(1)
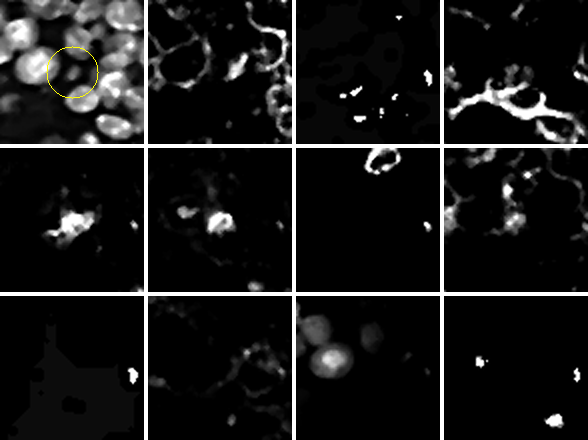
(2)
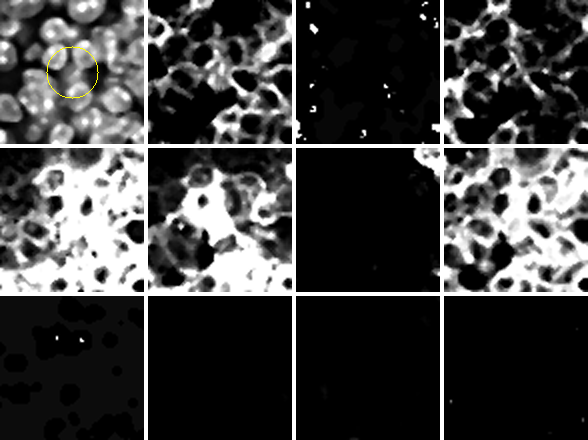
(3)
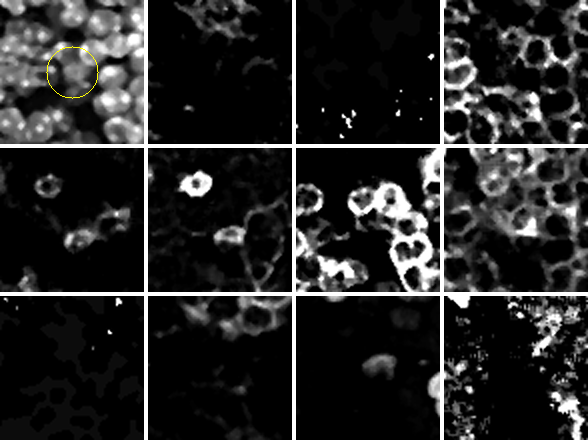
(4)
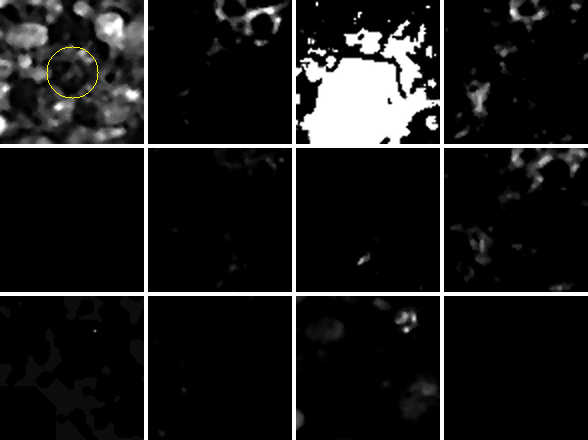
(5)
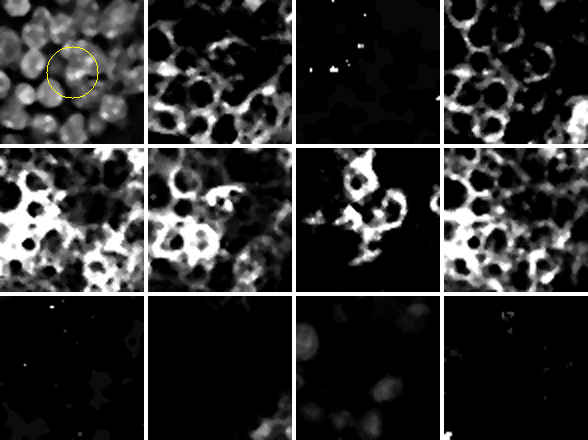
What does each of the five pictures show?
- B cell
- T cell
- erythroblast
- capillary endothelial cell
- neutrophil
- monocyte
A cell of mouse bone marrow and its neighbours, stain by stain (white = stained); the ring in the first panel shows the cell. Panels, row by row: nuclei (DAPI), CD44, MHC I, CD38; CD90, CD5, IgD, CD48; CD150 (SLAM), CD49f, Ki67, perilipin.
Picture 1: T cell
Picture 2: monocyte
Picture 3: B cell
Picture 4: erythroblast
Picture 5: B cell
